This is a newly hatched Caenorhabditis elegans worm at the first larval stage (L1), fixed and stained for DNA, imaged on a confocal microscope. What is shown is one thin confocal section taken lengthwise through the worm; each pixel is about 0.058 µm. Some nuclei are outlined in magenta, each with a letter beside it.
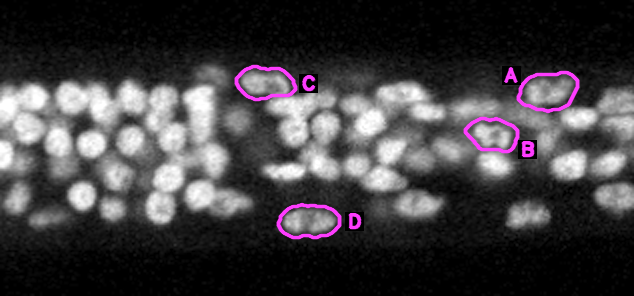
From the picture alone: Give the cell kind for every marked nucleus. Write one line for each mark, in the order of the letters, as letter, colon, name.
A: body wall muscle cell
B: pharyngeal muscle cell
C: body wall muscle cell
D: body wall muscle cell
